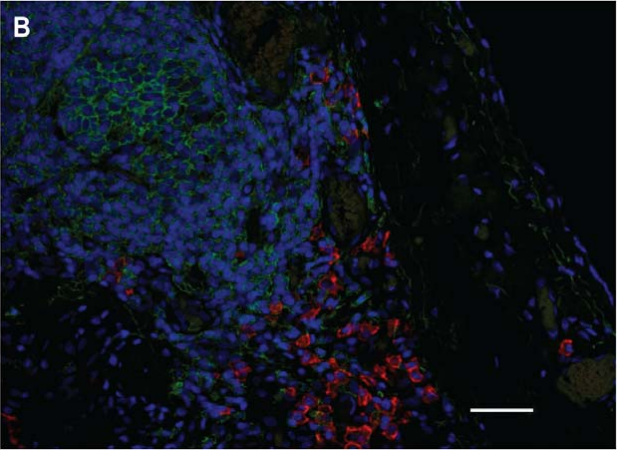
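In the upper left, many small round cells with blue nuclei are packed tightly. Thin green outlines trace their surfaces in a honeycomb-like net. Along the lower and right margin of this aggregate lie rounder cells. Each has a bright red ring around the cytoplasm and a blue nucleus. They are grouped loosely toward the bottom of the image. To the right is looser tissue with sparse elongated nuclei. A few yellowish-brown autofluorescent bodies are also visible.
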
